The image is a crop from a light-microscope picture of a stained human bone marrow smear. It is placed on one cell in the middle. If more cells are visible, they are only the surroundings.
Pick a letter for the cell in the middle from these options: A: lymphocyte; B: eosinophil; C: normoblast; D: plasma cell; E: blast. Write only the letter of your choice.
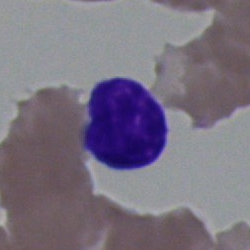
A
